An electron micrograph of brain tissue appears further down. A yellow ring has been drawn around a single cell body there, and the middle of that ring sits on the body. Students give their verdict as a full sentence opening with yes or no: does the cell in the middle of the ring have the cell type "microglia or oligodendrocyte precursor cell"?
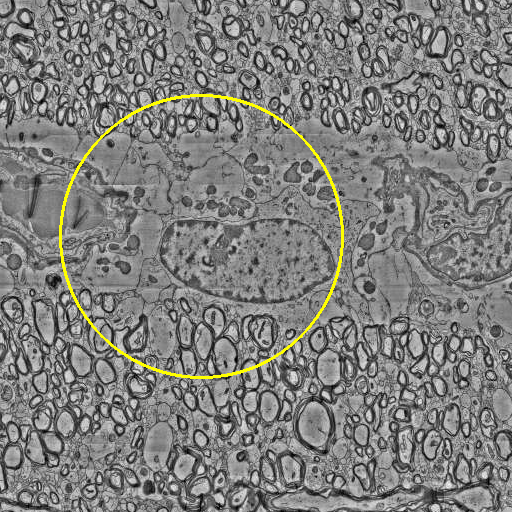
Yes, in this picture the cell sitting at the middle of the ring has that cell type.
